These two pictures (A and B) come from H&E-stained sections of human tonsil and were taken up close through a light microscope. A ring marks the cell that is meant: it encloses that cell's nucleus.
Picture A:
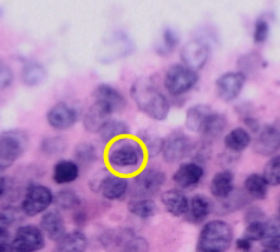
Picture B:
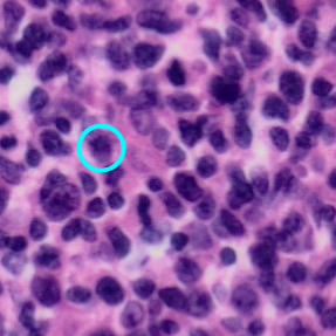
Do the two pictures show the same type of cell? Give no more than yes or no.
yes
